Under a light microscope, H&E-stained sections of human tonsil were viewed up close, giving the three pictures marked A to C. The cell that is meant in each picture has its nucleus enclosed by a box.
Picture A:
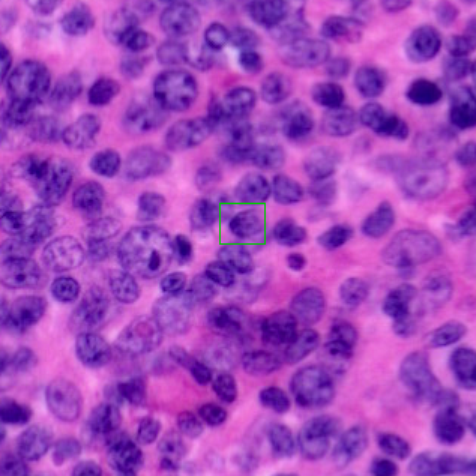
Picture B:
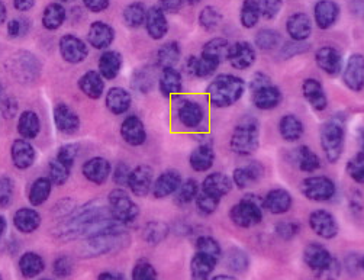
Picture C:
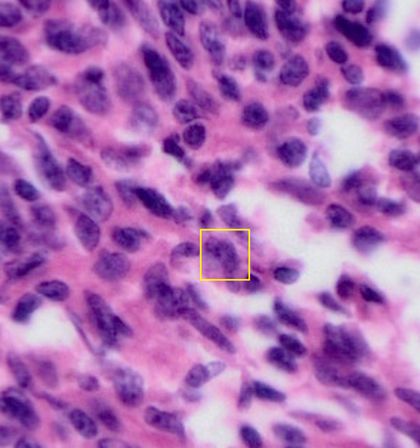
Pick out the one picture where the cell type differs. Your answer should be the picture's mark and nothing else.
B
